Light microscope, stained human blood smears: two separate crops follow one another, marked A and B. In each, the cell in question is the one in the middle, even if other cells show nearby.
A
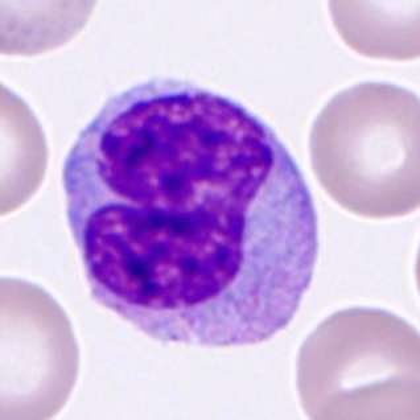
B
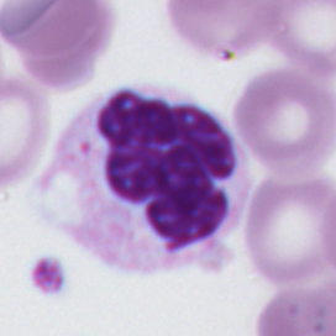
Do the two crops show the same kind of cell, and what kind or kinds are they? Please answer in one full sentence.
No, crop A presents a monocyte; crop B presents a segmented neutrophil.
